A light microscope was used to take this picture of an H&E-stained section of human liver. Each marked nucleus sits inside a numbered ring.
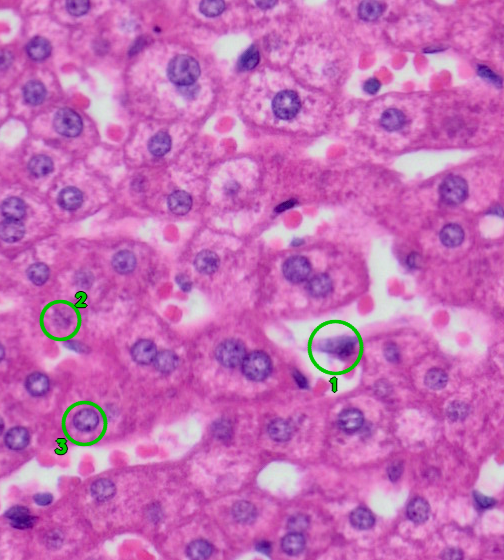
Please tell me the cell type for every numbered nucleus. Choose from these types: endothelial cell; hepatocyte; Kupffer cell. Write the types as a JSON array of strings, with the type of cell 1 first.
["Kupffer cell", "hepatocyte", "hepatocyte"]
